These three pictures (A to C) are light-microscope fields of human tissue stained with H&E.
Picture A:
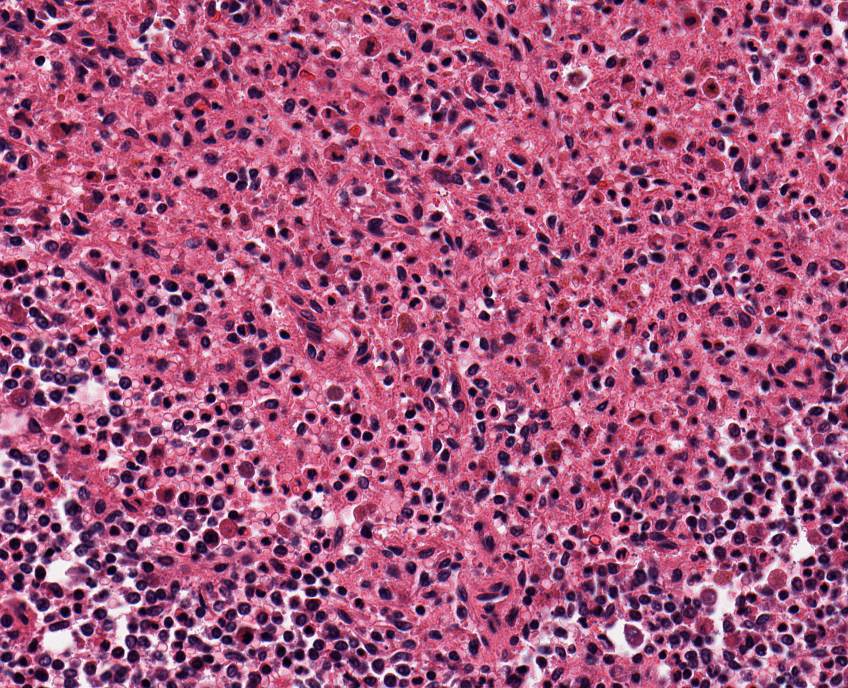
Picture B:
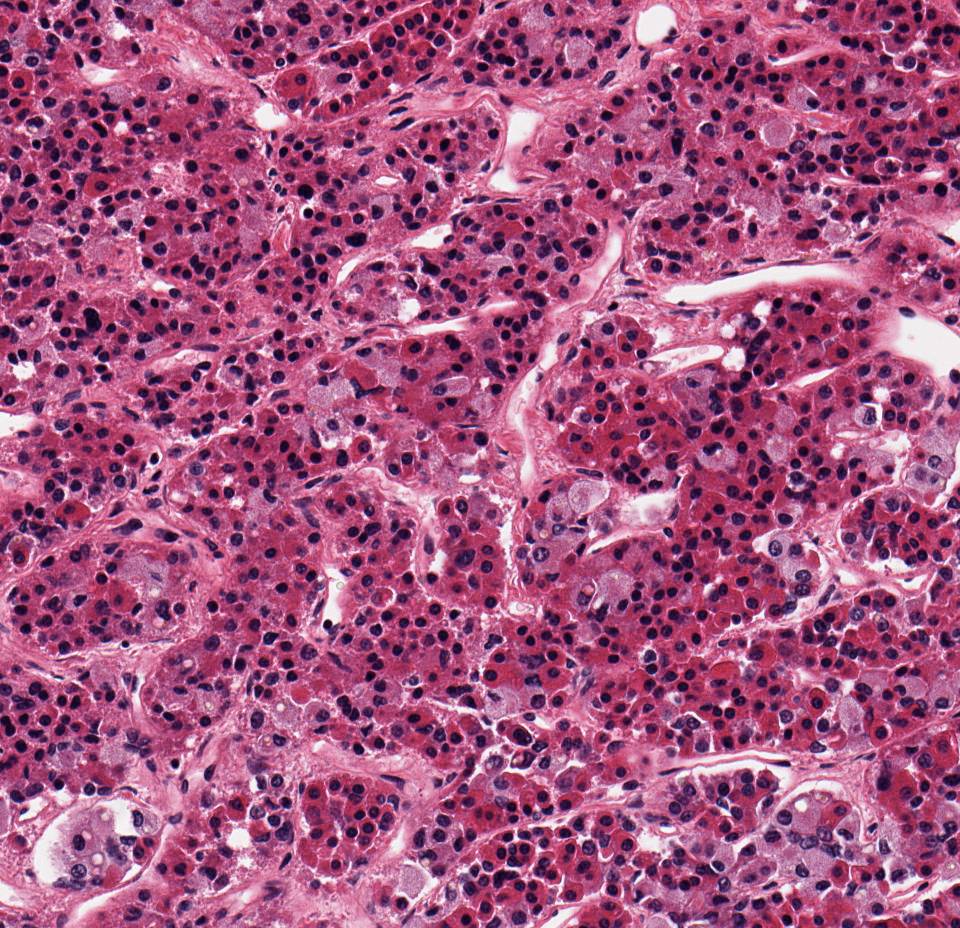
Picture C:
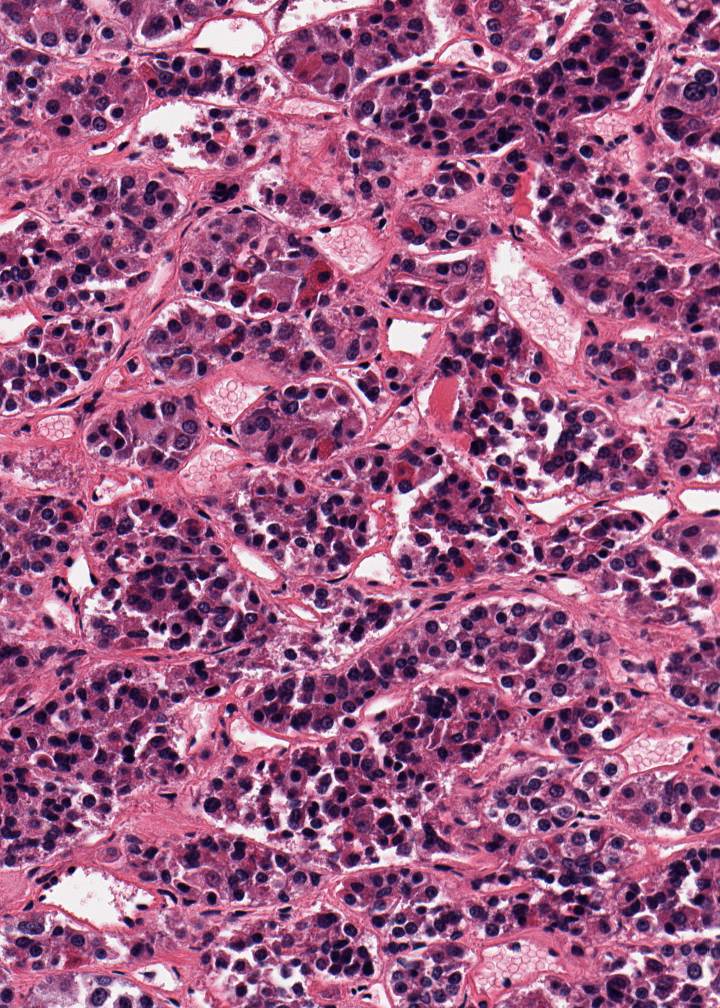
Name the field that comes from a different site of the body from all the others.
A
